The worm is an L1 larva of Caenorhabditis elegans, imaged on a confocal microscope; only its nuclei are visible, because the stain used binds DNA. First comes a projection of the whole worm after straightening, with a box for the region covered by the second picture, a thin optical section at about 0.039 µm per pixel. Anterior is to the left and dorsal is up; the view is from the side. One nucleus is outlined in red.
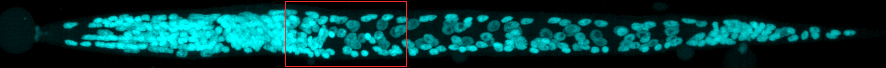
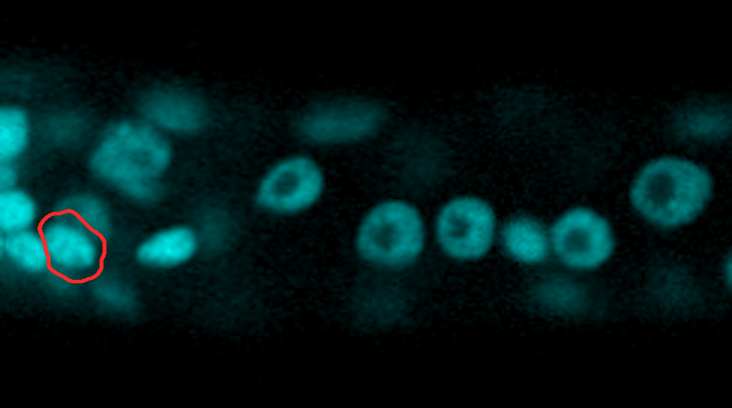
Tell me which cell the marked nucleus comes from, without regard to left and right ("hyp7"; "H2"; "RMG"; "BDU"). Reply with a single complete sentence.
It is the nucleus of RMG, a neuron.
